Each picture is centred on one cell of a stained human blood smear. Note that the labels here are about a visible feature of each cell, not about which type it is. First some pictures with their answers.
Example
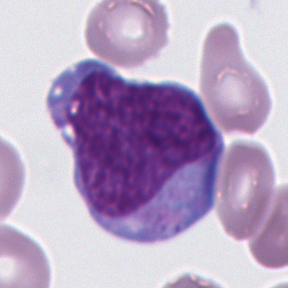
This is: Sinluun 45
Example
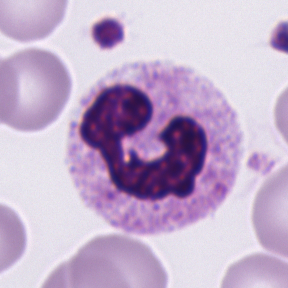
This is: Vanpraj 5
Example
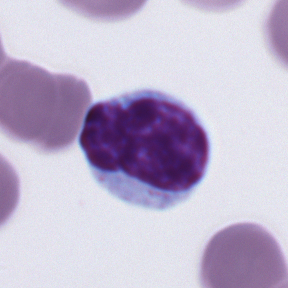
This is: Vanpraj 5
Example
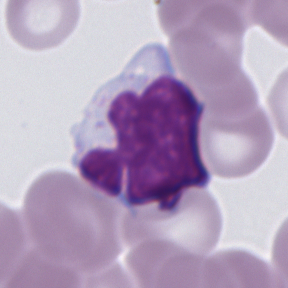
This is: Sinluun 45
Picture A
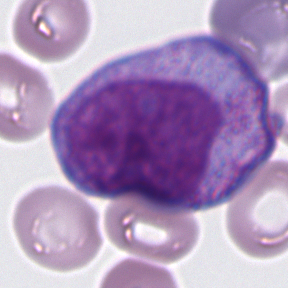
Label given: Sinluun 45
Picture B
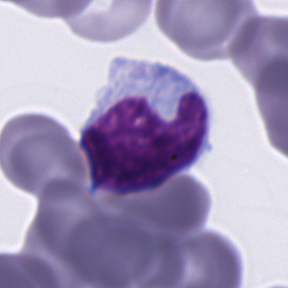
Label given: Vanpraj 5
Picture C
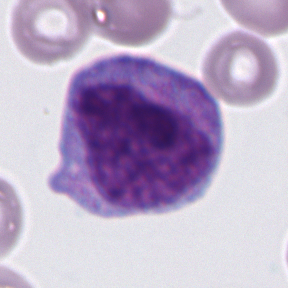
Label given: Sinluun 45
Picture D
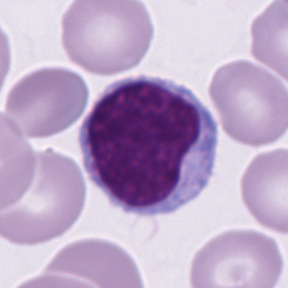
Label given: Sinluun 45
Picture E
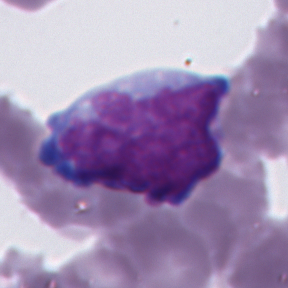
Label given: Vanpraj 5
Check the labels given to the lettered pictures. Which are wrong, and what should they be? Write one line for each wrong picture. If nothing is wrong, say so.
B: change Vanpraj 5 to Sinluun 45
E: change Vanpraj 5 to Sinluun 45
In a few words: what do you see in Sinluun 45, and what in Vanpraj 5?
Sinluun 45: ragged outline or projections; Vanpraj 5: smooth outline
